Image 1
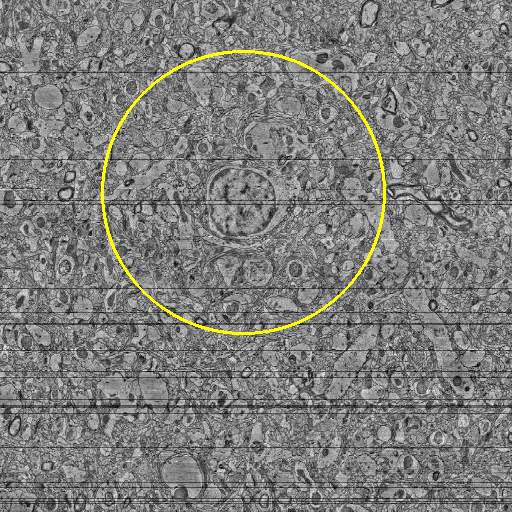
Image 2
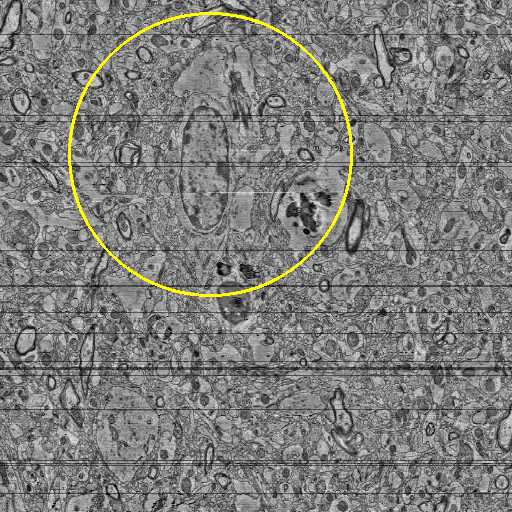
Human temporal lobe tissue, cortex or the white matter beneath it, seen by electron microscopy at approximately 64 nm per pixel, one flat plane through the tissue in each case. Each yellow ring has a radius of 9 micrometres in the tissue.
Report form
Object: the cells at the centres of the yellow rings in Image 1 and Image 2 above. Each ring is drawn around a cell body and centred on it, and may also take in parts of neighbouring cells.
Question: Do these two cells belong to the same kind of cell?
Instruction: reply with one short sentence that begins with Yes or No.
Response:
Yes, both belong to the same kind of cell.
